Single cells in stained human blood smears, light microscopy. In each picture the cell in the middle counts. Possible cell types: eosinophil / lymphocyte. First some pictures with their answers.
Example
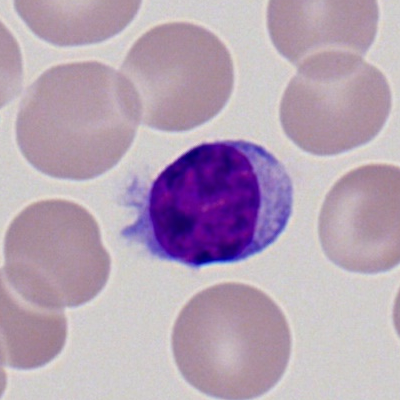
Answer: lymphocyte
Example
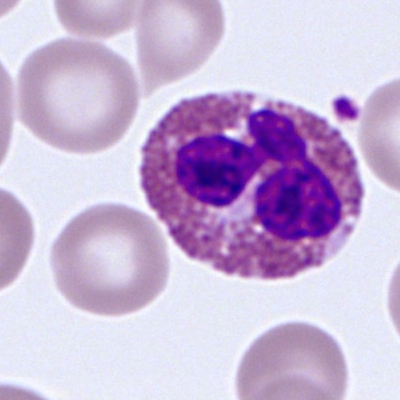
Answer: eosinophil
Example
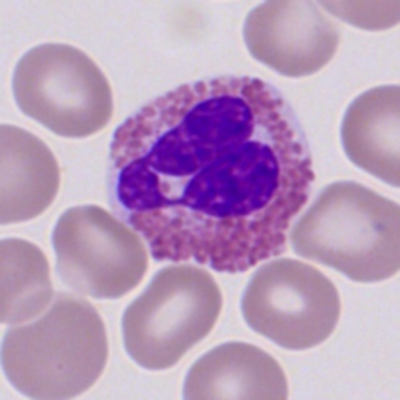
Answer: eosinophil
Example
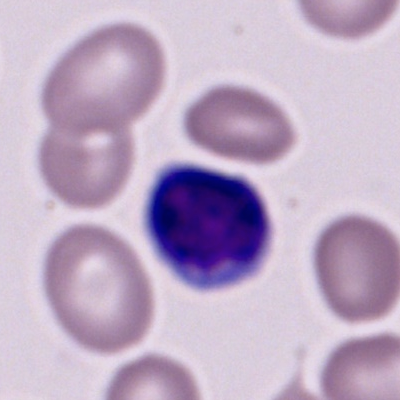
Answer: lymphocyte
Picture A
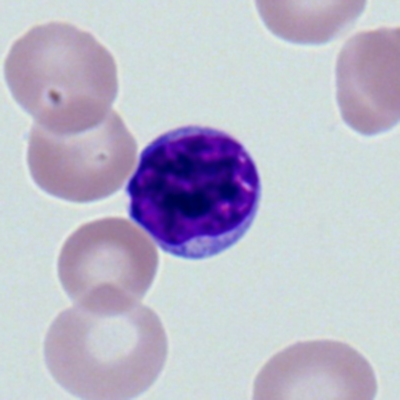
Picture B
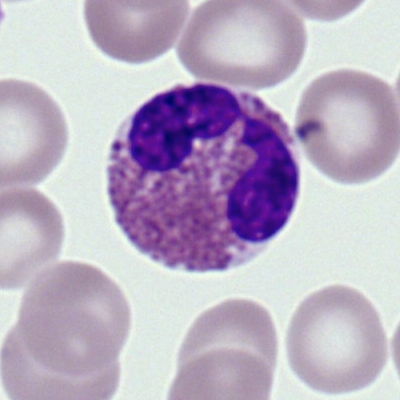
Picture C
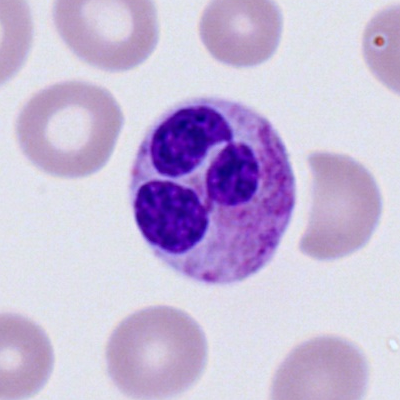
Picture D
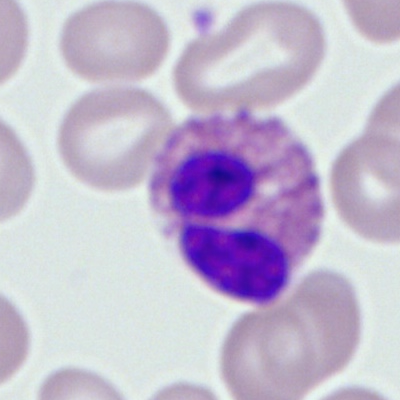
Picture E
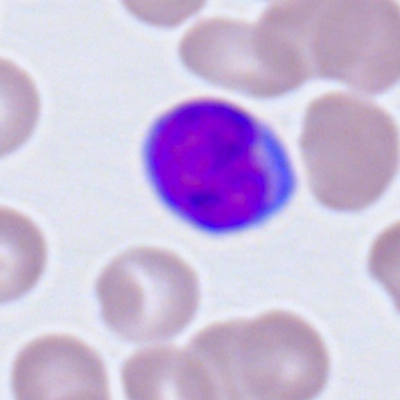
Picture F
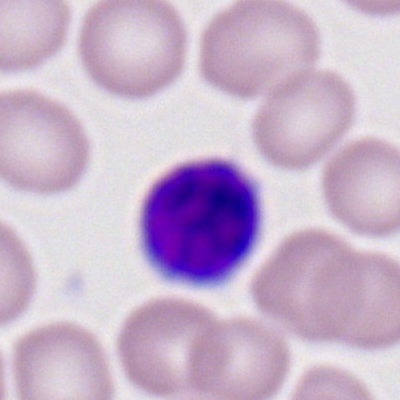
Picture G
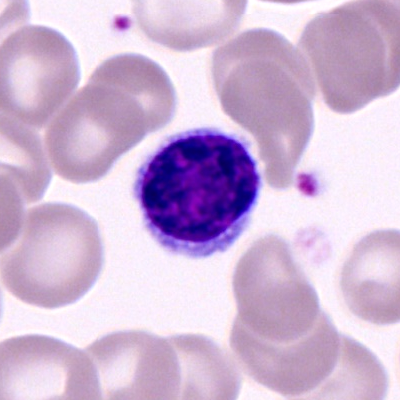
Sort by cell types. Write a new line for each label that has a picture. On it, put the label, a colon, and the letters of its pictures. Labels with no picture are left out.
eosinophil: B, C, D
lymphocyte: A, E, F, G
